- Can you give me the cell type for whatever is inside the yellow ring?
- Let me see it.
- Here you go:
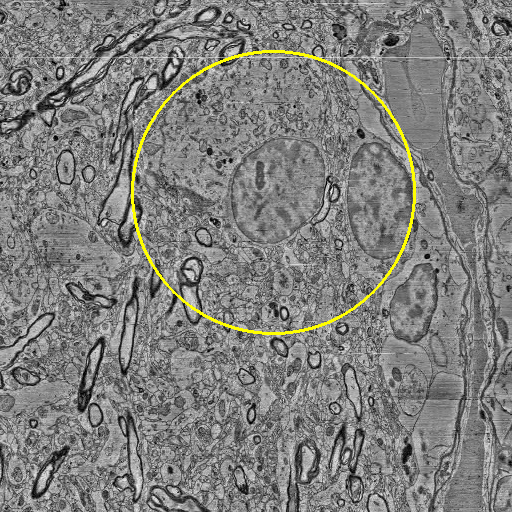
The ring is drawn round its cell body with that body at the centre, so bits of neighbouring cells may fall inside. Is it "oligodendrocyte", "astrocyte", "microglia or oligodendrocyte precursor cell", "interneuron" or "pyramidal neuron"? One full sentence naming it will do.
The cell body in the middle of the ring in this picture belongs to an oligodendrocyte.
